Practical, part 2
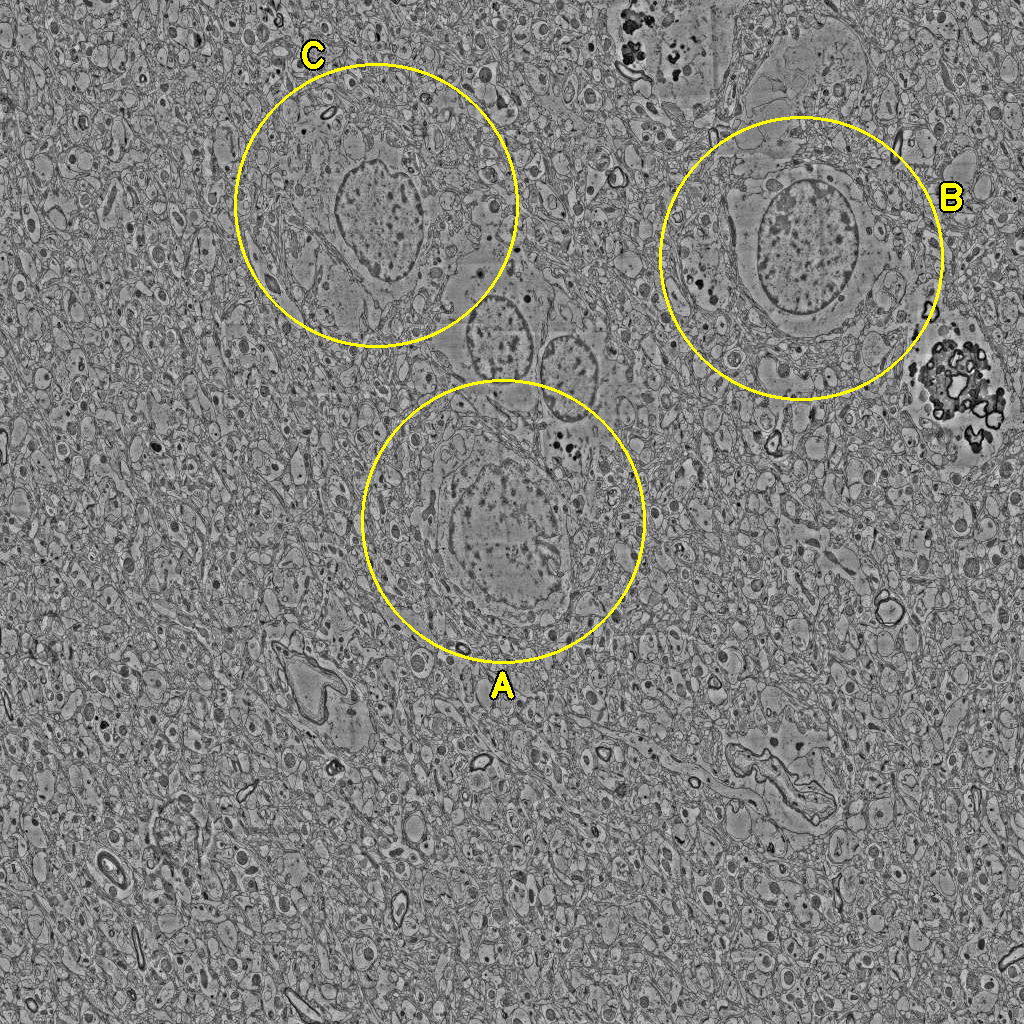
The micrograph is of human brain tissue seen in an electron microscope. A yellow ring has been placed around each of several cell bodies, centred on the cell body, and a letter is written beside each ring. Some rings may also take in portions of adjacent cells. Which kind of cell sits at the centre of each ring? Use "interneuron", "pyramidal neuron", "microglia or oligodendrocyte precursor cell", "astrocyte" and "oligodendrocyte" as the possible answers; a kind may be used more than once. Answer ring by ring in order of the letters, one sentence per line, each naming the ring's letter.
Ring A sits on an interneuron.
Ring B sits on an astrocyte.
Ring C sits on an astrocyte.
